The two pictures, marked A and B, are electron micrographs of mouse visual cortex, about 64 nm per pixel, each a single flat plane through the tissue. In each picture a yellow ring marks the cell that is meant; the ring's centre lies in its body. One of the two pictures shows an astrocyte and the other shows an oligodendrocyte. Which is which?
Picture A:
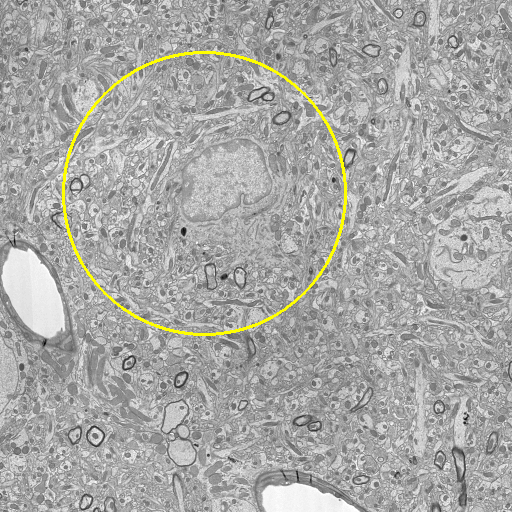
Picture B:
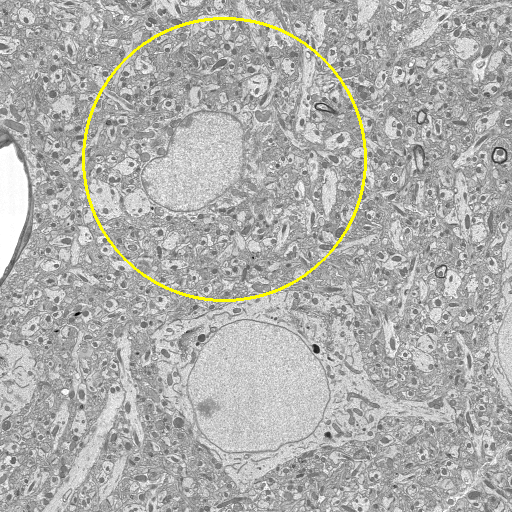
Picture A is of an oligodendrocyte, and picture B is of an astrocyte.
